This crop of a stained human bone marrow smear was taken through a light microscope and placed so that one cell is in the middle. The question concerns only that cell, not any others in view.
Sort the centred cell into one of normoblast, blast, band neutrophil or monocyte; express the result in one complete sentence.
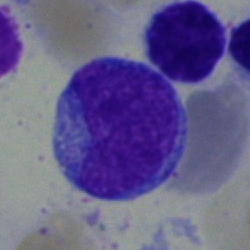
The cell of interest, in the center, is a blast.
